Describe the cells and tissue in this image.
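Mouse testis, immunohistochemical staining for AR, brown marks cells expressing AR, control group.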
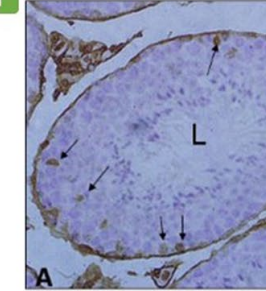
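This is a cross-section of a seminiferous tubule with a central lumen, surrounded by neighbouring tubules and small triangles of interstitial tissue. Scattered brown-stained nuclei of Sertoli cells lie along the base of the tubule near its wall, while the many layers of germ cells have purple, unstained nuclei. In the interstitial spaces between tubules, clusters of cells with round nuclei also take up the brown stain.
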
